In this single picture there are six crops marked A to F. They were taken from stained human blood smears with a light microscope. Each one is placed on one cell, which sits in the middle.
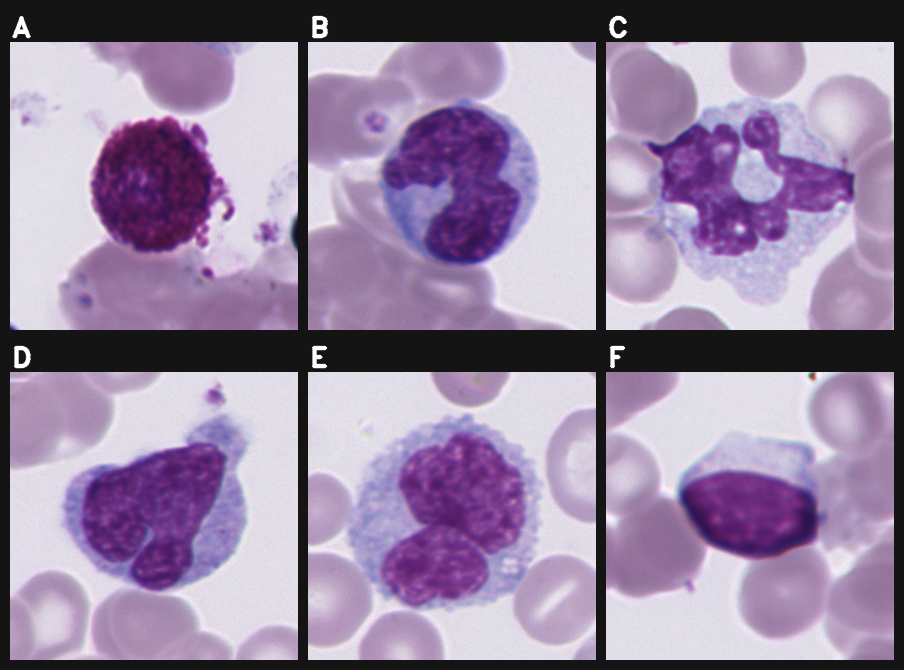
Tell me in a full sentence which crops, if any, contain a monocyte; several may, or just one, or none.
Placed at the centre of crops B, C, D and E are monocytes.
